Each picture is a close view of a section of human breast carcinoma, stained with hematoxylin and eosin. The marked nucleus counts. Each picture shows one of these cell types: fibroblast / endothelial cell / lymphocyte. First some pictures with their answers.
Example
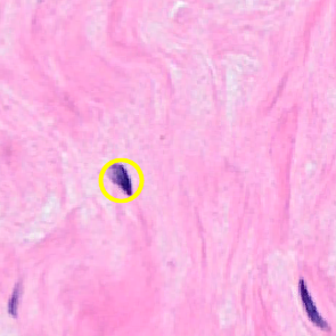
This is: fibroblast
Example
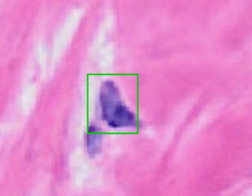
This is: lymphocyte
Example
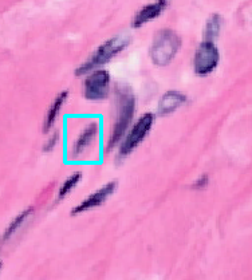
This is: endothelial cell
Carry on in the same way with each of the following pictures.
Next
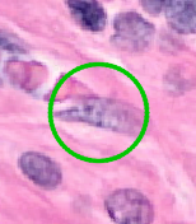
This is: endothelial cell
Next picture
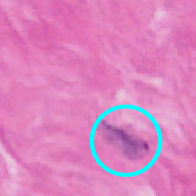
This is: fibroblast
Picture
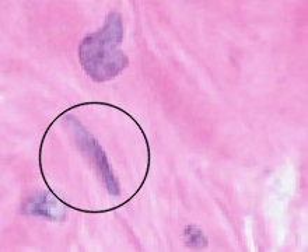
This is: fibroblast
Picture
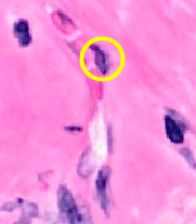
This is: endothelial cell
